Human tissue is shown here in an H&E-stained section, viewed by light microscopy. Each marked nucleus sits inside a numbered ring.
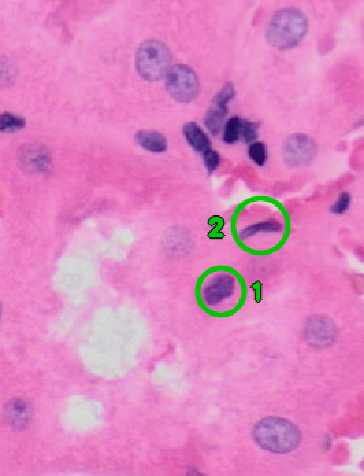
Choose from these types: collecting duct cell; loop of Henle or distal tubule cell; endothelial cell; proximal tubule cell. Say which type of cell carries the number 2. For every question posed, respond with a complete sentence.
The cell pointed out by number 2 is an endothelial cell.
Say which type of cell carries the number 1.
Among the marked nuclei, number 1 belongs to a proximal tubule cell.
